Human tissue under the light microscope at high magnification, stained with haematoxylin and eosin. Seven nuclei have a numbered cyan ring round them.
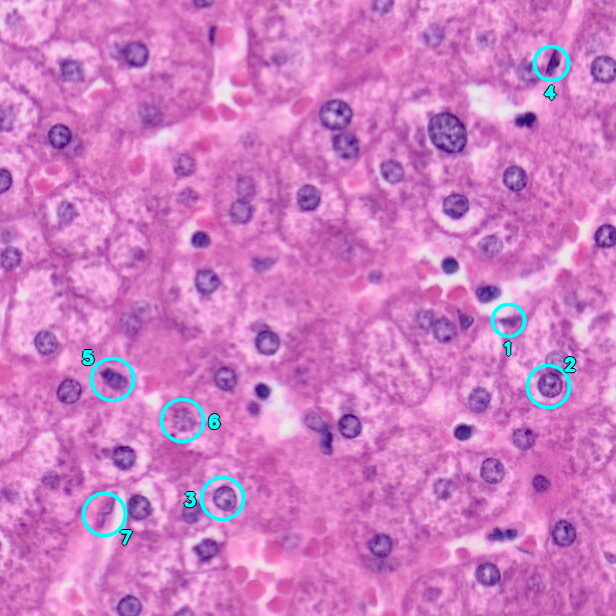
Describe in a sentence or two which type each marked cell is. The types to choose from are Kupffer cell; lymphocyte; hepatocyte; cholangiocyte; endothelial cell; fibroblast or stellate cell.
Cell 1 is an endothelial cell, cell 2 is a hepatocyte, cell 3 is a hepatocyte, cell 4 is an endothelial cell, cell 5 is a fibroblast or stellate cell, cell 6 is a hepatocyte and cell 7 is a Kupffer cell.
